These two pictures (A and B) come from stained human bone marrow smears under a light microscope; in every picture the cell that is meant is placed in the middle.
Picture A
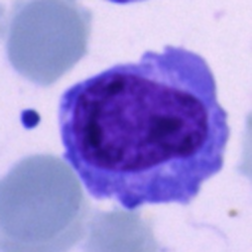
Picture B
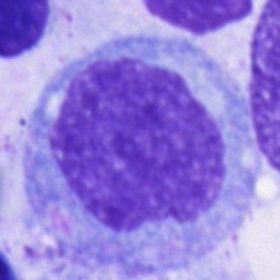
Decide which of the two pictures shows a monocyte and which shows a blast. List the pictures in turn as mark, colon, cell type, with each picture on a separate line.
A: blast
B: monocyte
